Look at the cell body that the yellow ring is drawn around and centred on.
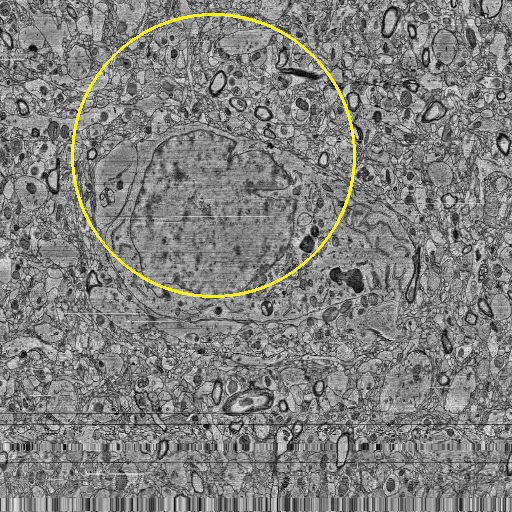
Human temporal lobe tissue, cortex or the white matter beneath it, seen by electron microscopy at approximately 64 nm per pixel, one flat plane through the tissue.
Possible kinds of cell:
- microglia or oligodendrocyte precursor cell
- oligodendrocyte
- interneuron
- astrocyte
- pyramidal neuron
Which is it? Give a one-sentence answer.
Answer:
The centred cell body is that of an interneuron.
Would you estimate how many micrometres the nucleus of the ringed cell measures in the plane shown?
Approximately 11 micrometres across in this plane.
